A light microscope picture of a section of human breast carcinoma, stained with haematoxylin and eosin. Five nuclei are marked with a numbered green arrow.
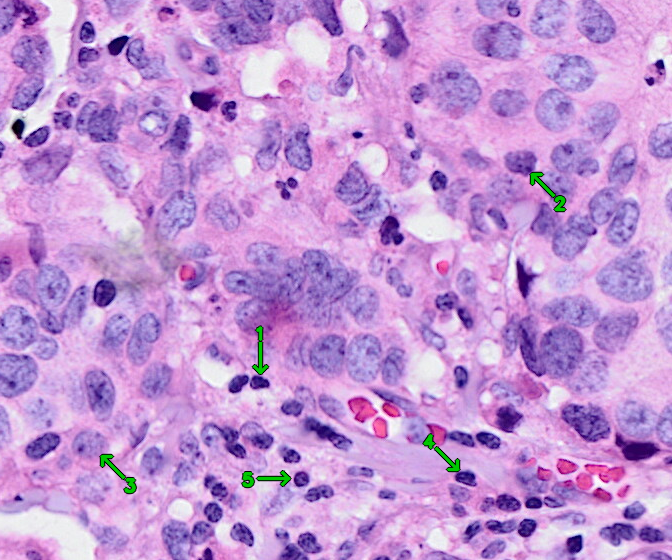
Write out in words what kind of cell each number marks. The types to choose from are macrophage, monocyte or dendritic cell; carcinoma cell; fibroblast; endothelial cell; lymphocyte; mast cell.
Cells 1, 4 and 5 are lymphocytes. Cells 2 and 3 are carcinoma cells.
